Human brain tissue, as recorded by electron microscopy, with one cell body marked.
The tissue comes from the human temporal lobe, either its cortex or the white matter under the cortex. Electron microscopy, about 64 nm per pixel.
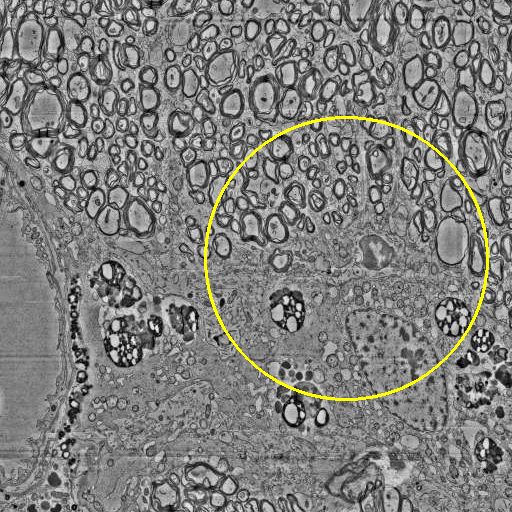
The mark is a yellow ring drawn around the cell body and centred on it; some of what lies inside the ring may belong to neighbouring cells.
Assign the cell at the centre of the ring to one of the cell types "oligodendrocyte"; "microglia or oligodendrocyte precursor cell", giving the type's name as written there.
microglia or oligodendrocyte precursor cell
